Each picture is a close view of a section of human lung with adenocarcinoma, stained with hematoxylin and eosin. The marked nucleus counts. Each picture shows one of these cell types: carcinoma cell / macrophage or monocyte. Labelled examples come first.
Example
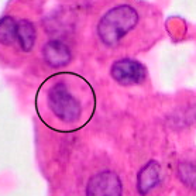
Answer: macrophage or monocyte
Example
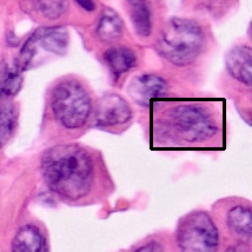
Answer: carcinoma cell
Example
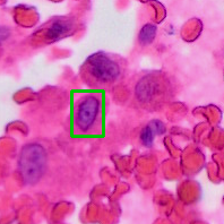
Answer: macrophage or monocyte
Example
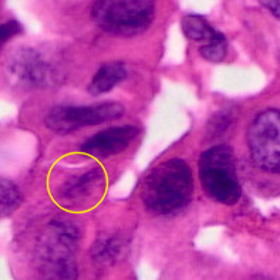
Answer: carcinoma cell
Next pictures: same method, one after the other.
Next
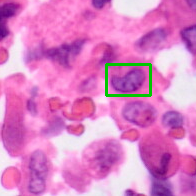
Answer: macrophage or monocyte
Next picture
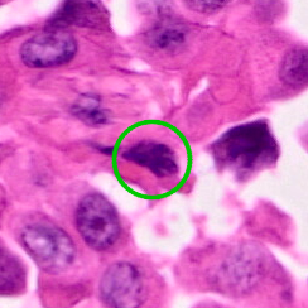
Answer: carcinoma cell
